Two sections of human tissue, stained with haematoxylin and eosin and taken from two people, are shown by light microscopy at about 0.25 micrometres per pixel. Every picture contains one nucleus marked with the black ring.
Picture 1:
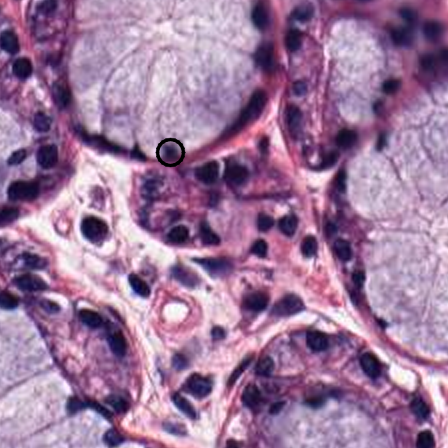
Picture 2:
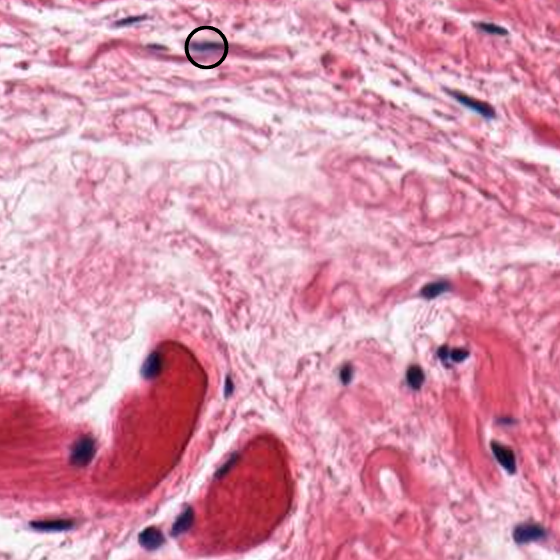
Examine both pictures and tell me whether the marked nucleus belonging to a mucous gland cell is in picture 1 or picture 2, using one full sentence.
It is the marked nucleus of picture 1 that belongs to a mucous gland cell.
